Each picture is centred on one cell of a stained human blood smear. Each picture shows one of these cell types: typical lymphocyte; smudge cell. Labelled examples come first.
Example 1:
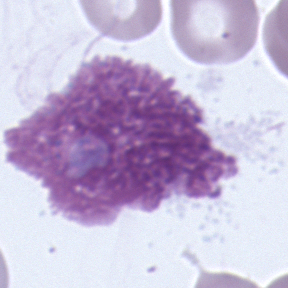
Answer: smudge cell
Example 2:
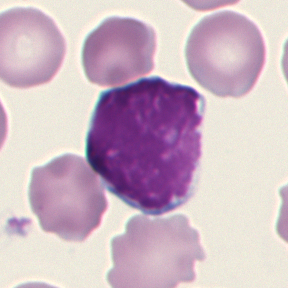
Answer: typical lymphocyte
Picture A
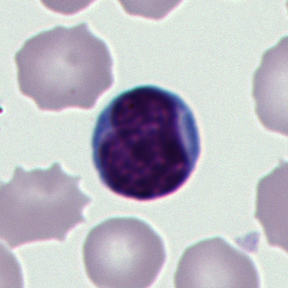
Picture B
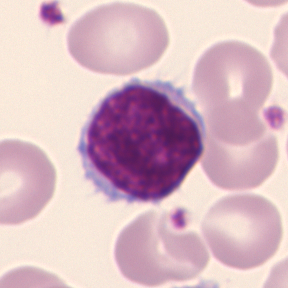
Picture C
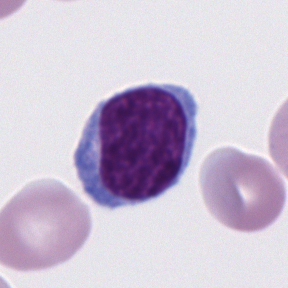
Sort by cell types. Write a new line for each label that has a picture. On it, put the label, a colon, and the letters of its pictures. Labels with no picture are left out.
typical lymphocyte: A, B, C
